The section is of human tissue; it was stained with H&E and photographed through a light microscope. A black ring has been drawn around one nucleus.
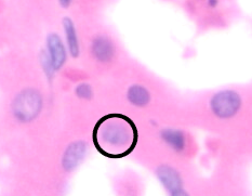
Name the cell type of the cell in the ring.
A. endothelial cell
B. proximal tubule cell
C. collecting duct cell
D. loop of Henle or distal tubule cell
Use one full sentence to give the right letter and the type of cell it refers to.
The correct identification, the cell in the ring as a loop of Henle or distal tubule cell, is given by option D.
